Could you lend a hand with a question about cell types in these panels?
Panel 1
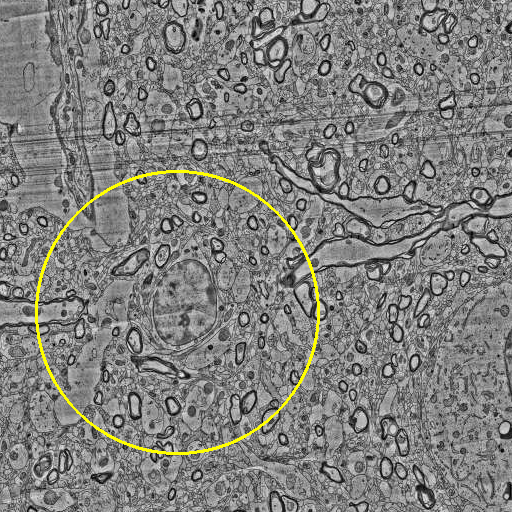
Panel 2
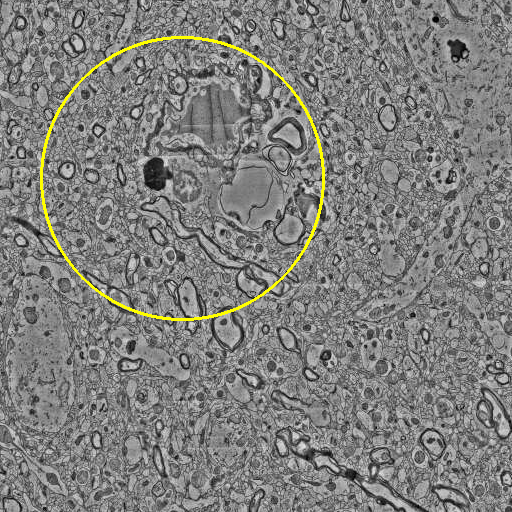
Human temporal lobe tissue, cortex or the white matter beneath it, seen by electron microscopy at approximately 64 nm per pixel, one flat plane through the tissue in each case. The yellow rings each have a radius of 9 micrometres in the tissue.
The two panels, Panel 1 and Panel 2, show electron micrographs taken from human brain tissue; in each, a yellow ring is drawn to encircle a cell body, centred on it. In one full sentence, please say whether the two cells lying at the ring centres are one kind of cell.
No, the cells at the ring centres in the two panels are two kinds of cell.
